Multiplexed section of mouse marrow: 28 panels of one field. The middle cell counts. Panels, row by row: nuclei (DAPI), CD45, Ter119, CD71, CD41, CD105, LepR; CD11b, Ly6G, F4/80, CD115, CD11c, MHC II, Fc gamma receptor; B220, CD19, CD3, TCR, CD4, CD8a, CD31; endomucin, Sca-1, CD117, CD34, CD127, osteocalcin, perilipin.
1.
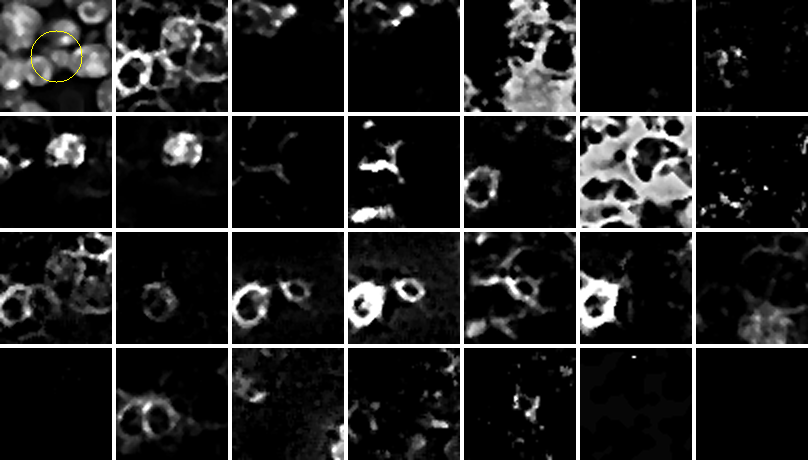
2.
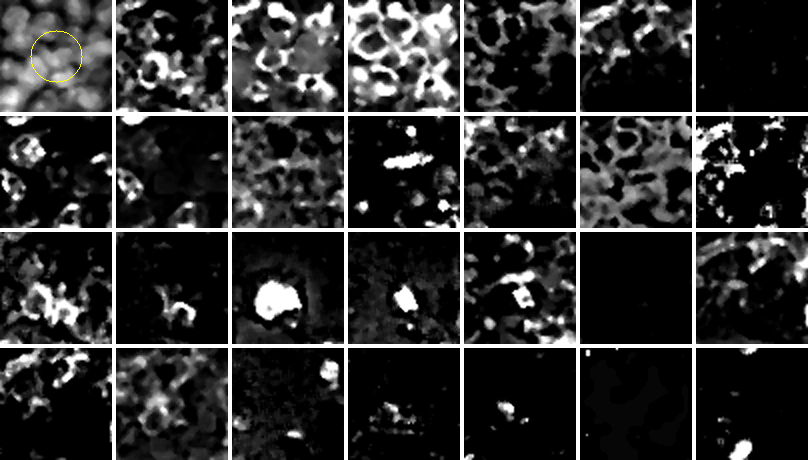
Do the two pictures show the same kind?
Yes, both are CD4 T cells.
